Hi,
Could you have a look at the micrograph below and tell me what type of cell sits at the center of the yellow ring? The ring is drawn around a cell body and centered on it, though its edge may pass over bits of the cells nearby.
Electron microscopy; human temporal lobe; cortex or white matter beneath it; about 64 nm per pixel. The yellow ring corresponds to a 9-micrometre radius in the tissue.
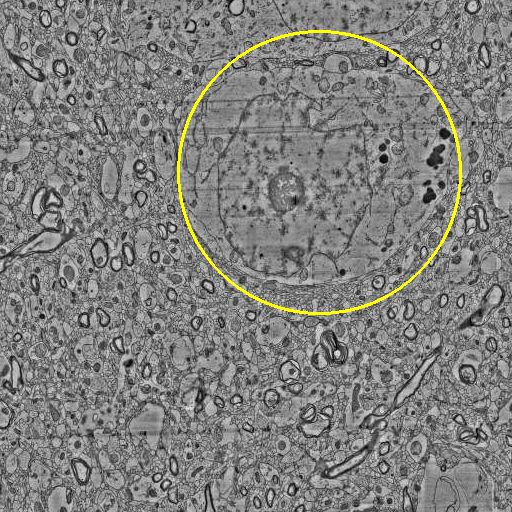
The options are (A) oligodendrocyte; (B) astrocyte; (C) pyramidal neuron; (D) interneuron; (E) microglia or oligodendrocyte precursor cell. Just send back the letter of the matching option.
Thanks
D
